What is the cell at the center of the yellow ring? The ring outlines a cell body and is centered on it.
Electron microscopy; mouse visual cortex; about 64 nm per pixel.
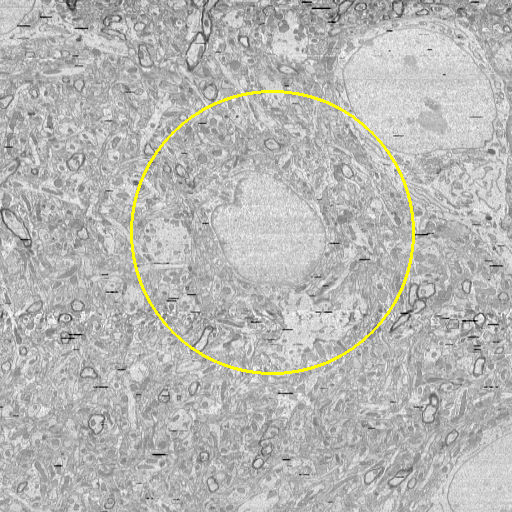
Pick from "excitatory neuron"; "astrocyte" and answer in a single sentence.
The yellow ring is centered on an astrocyte.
